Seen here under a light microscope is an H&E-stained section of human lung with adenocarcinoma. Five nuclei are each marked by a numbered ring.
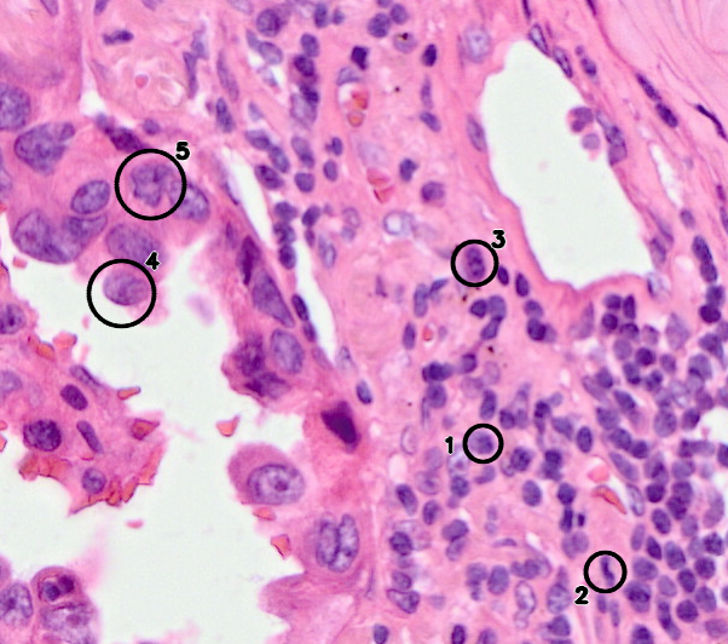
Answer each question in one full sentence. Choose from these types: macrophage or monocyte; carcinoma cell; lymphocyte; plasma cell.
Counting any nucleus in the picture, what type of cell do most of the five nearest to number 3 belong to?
Lymphocytes account for more than half of the five nuclei nearest to number 3.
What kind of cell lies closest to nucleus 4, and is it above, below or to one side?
It is a carcinoma cell, whose nucleus lies above nucleus 4.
